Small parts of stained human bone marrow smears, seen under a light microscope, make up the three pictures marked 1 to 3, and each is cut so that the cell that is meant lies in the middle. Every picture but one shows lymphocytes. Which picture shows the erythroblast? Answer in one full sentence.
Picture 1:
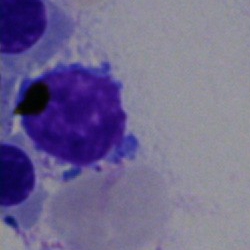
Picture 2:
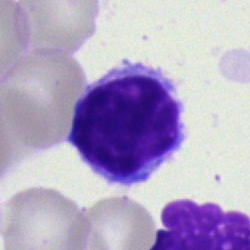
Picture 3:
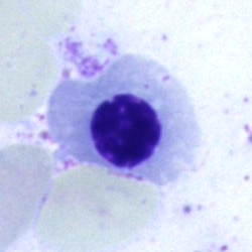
The picture with the erythroblast is 3.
